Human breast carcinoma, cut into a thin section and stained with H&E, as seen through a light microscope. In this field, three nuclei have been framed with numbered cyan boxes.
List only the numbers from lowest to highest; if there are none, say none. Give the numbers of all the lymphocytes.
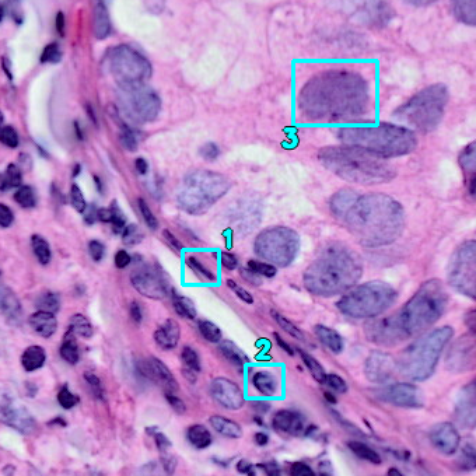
1, 2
